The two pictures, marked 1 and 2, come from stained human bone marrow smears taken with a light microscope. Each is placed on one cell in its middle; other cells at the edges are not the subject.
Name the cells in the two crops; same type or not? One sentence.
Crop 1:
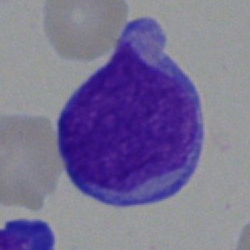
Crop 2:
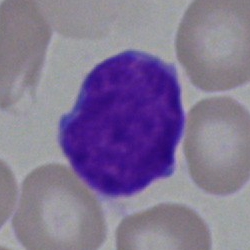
Yes, both crops show blasts in the centre of the field.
